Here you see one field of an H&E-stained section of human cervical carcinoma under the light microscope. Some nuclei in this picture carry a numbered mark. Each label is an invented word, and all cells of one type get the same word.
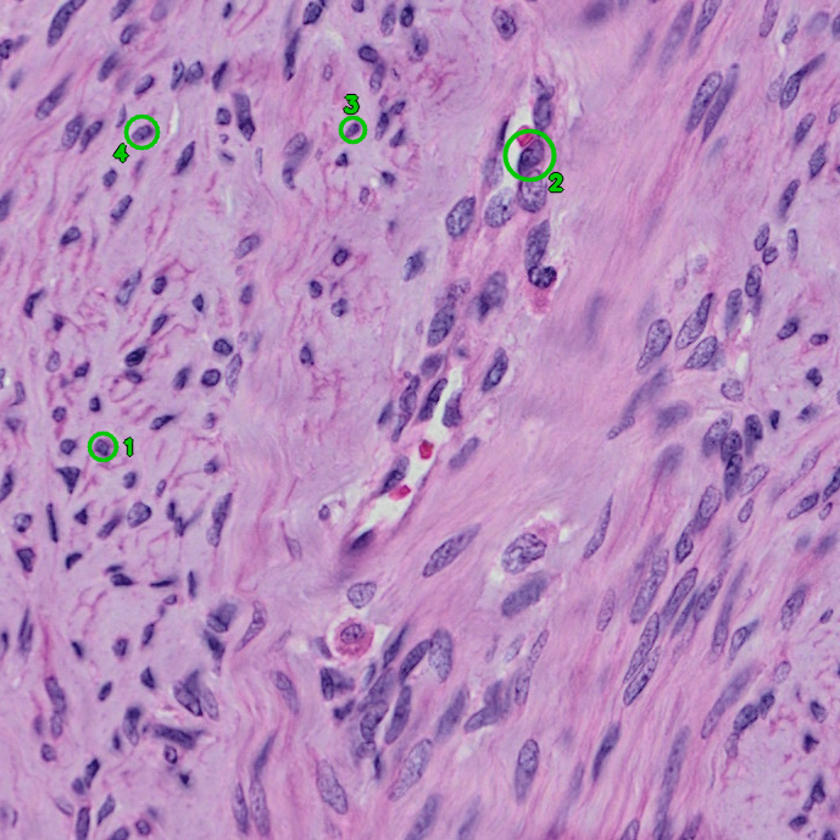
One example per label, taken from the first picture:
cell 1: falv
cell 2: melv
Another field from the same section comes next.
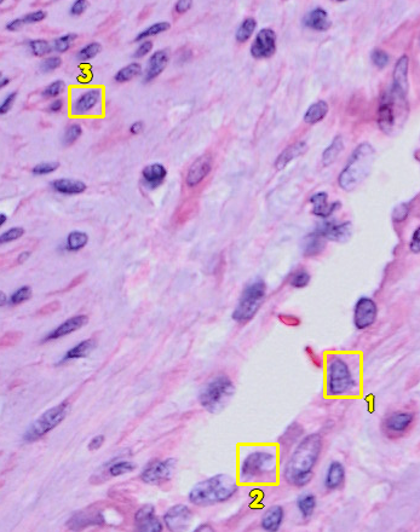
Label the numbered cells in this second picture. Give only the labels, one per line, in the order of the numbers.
melv
melv
falv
